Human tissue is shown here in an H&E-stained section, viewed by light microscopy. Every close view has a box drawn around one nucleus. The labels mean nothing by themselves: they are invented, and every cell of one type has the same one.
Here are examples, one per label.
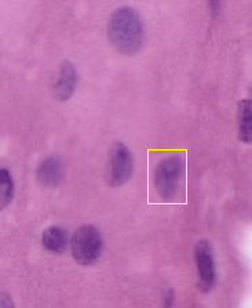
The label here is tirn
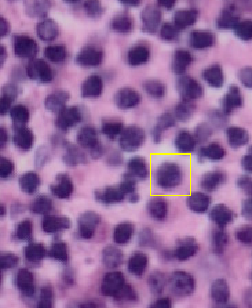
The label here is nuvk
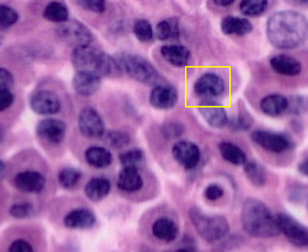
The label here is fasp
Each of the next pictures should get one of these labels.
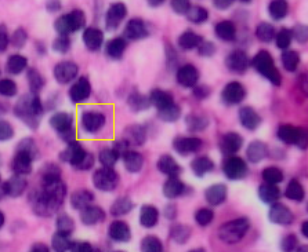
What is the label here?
nuvk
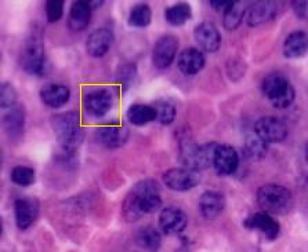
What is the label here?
fasp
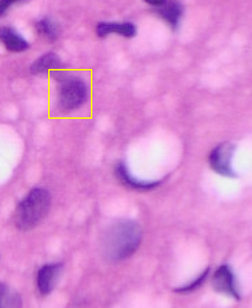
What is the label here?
tirn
